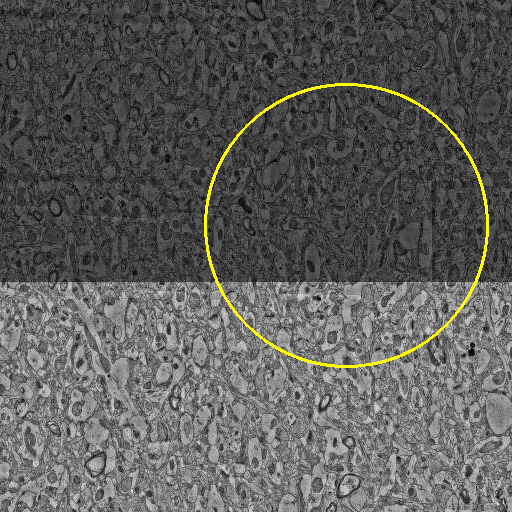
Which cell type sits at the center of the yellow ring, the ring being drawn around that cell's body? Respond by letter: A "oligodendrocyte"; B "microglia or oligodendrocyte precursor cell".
B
